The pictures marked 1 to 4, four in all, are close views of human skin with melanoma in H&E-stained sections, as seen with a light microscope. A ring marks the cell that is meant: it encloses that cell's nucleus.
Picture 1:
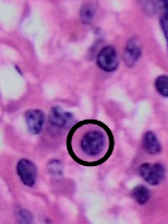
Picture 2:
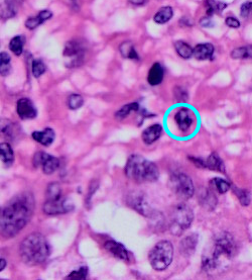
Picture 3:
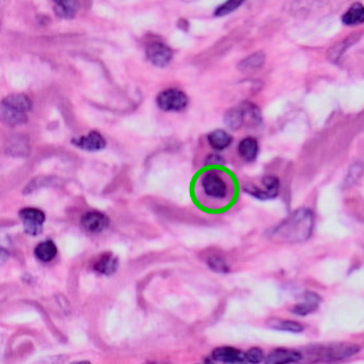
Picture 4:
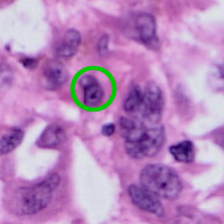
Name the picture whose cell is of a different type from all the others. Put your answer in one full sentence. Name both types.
Picture 4 differs, because its cell is a “macrophage or monocyte” and the rest are plasma cells.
